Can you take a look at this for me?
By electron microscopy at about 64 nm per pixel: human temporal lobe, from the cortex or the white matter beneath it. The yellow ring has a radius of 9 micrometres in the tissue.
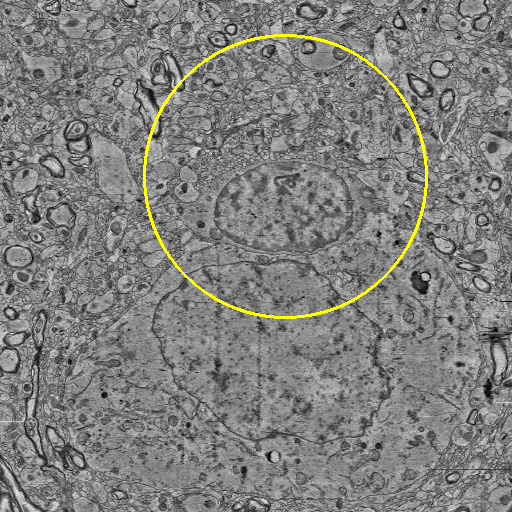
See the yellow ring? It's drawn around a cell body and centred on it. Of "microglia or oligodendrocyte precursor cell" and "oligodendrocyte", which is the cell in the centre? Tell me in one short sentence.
The one in the centre is an oligodendrocyte.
